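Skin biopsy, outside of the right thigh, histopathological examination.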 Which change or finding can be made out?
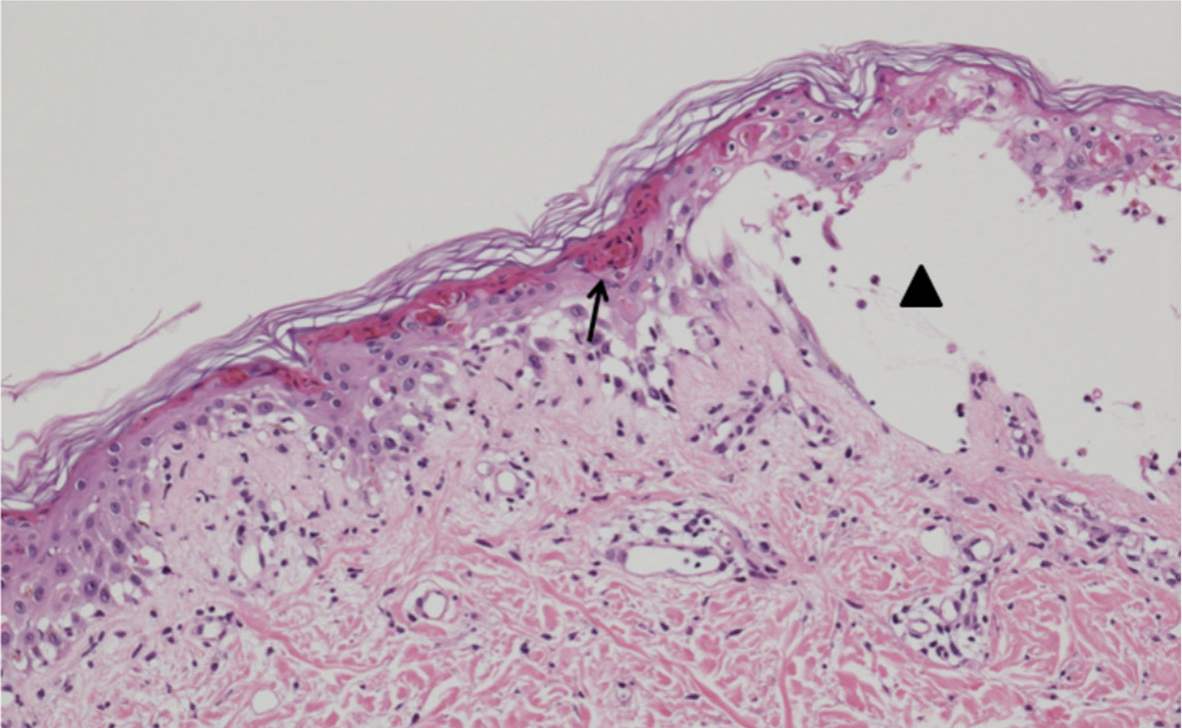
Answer: papillary dermal edema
